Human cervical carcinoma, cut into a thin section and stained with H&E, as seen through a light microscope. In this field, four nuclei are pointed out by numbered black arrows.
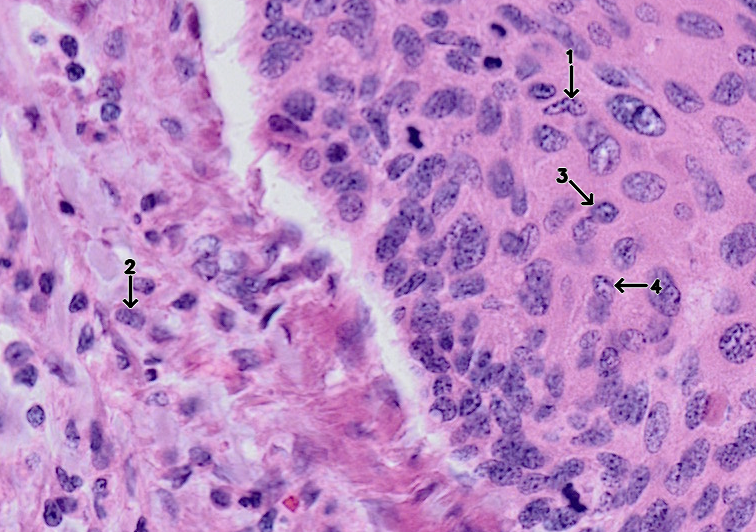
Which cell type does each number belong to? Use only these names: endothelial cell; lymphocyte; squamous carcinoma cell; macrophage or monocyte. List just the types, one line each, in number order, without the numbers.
squamous carcinoma cell
macrophage or monocyte
squamous carcinoma cell
squamous carcinoma cell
